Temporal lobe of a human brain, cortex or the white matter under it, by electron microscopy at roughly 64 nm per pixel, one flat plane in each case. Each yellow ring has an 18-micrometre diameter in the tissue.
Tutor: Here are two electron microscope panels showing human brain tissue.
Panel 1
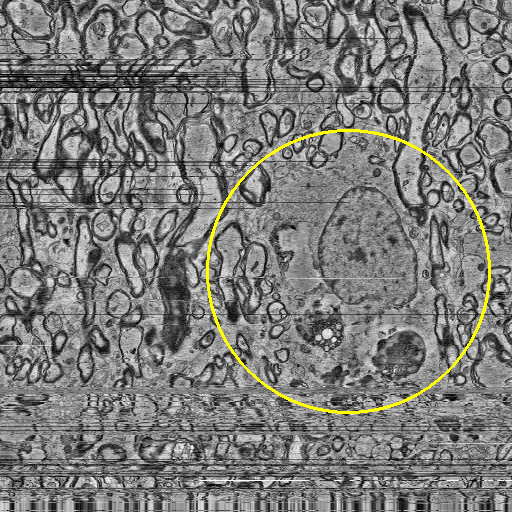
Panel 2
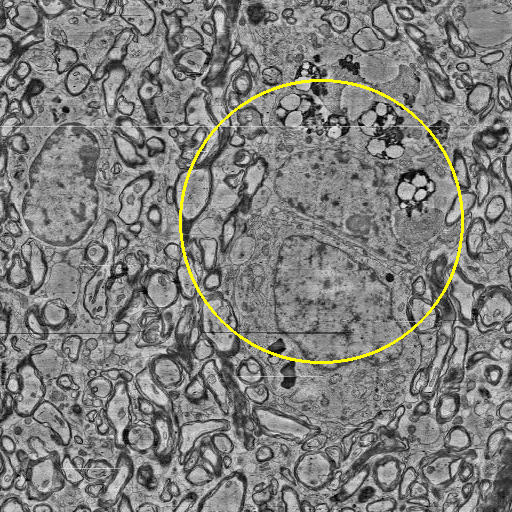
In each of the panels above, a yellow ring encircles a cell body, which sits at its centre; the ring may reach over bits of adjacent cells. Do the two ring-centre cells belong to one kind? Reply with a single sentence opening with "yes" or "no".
Yes, the two cells sitting at the ring centres in the panels belong to one kind.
